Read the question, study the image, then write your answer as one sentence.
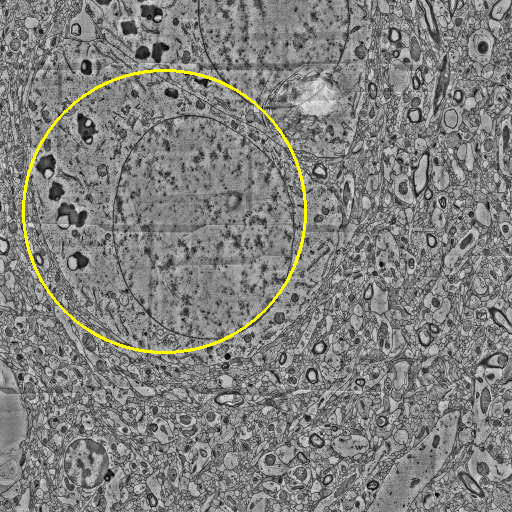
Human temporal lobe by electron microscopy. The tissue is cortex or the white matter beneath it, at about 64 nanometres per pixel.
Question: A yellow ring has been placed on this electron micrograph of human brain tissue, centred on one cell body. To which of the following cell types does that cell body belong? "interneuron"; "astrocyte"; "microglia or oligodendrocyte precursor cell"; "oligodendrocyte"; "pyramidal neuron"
That cell body belongs to a pyramidal neuron.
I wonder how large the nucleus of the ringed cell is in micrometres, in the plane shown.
Approximately 14 by 12 micrometers in this plane.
